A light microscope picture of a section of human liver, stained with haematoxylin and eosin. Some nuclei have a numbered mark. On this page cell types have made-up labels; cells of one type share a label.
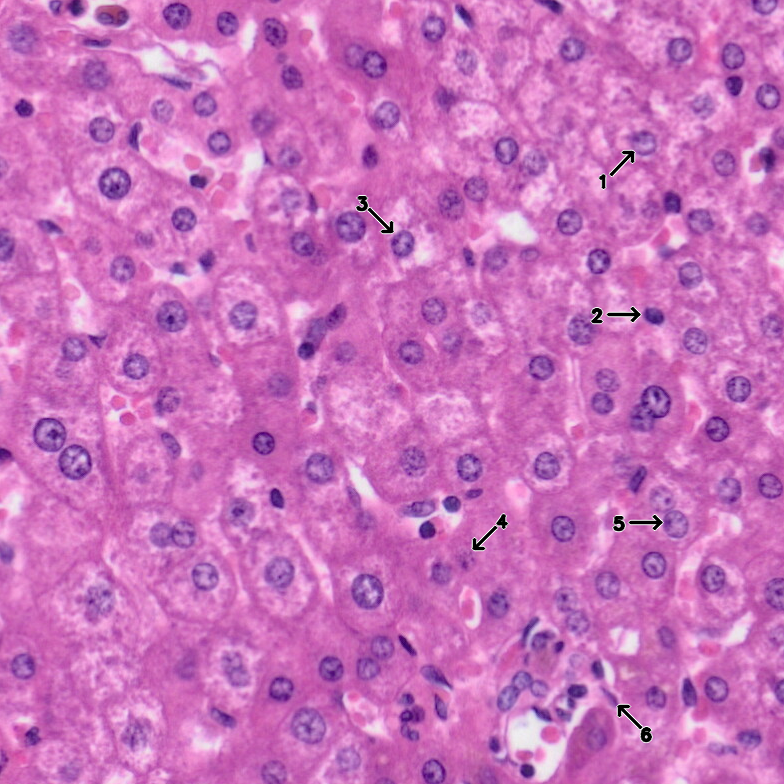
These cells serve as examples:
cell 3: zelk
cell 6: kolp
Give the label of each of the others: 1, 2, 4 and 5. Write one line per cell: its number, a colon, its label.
1: zelk
2: kolp
4: zelk
5: zelk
